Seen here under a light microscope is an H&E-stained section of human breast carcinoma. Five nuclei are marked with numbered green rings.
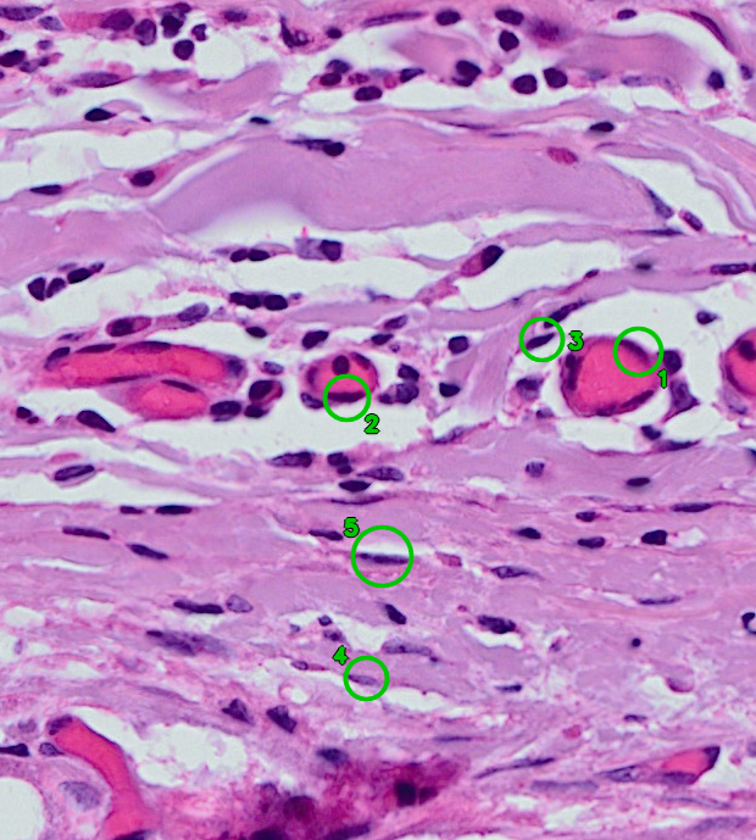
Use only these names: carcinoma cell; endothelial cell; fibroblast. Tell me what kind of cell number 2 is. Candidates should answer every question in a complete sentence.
Heads up, the cell numbered 2 is an endothelial cell.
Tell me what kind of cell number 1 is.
The label 1 in this section denotes an endothelial cell.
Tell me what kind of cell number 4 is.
The cell numbered 4 has been identified as a fibroblast.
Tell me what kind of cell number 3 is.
Belonging to a fibroblast is the nucleus that carries the number 3.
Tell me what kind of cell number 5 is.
Heads up, the cell numbered 5 is a fibroblast.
